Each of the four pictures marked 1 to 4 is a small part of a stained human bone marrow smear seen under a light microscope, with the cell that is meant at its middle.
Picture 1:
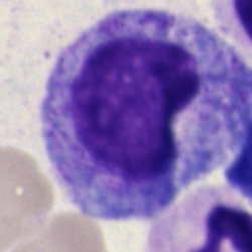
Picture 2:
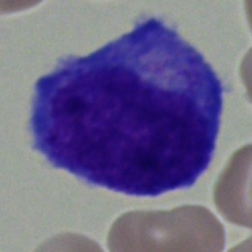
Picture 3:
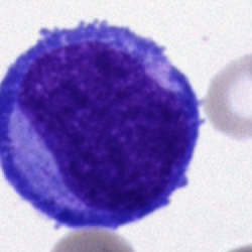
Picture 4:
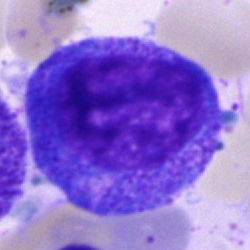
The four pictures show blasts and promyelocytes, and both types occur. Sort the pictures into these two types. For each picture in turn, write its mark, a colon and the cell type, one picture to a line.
1: promyelocyte
2: promyelocyte
3: blast
4: promyelocyte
